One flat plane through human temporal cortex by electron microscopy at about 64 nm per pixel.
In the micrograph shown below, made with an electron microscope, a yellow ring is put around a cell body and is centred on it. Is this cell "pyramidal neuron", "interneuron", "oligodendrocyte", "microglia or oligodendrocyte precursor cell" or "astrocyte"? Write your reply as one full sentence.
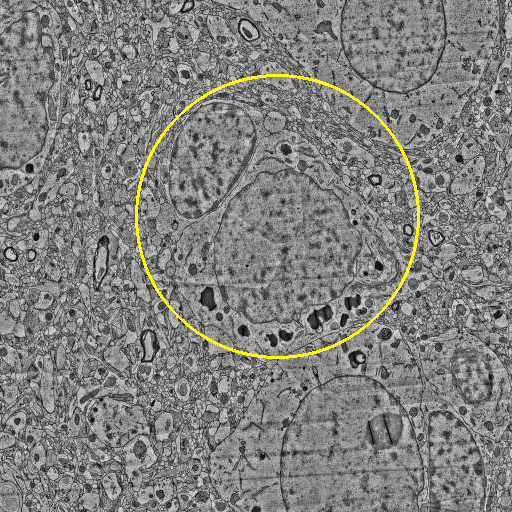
In the micrograph, an interneuron is the cell at the centre of the yellow ring.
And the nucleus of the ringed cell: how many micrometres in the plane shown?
In this plane, the nucleus of the cell at the centre of the ring is about 9 micrometres across.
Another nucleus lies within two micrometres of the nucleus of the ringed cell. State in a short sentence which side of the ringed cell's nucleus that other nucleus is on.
The other nucleus is situated to the upper left of it.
